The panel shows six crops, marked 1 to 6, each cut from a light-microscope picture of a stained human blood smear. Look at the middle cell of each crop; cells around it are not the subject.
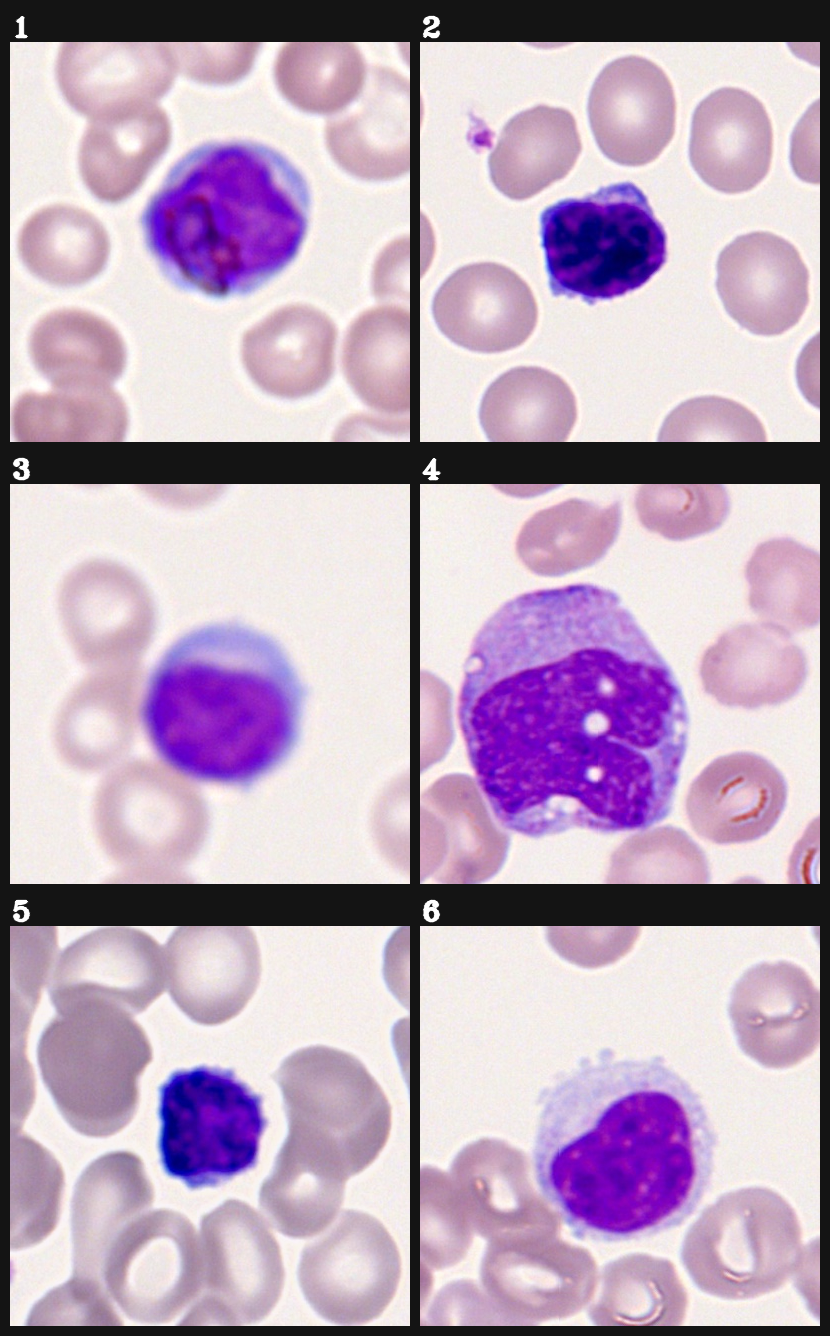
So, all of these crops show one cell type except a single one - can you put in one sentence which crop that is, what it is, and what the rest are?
Apart from crop 4, a monocyte, the crops all show lymphocytes.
